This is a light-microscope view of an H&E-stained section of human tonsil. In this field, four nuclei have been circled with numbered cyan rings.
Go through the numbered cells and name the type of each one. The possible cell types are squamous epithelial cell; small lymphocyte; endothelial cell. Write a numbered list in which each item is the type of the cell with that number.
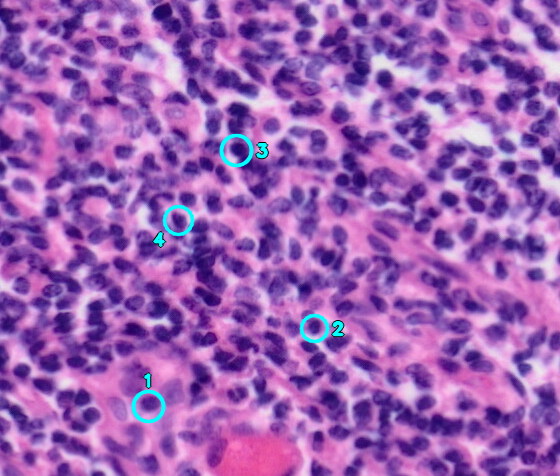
1. endothelial cell
2. small lymphocyte
3. small lymphocyte
4. small lymphocyte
